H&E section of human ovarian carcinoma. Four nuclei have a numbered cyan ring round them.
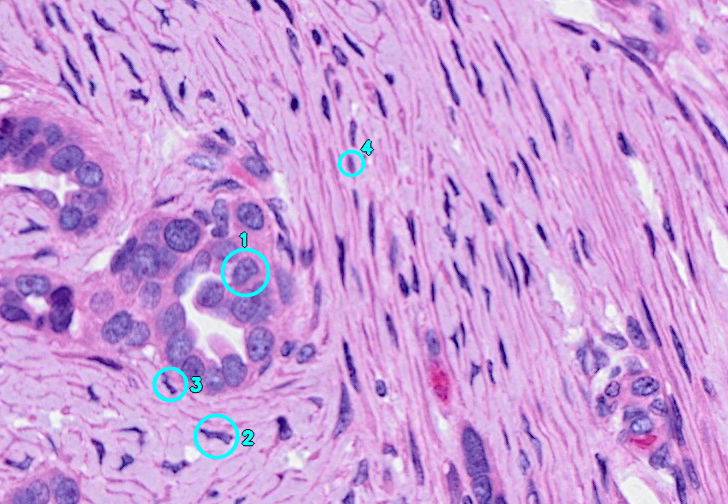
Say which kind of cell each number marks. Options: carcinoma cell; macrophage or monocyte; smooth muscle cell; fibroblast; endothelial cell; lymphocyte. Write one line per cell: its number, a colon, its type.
1: carcinoma cell
2: fibroblast
3: fibroblast
4: fibroblast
